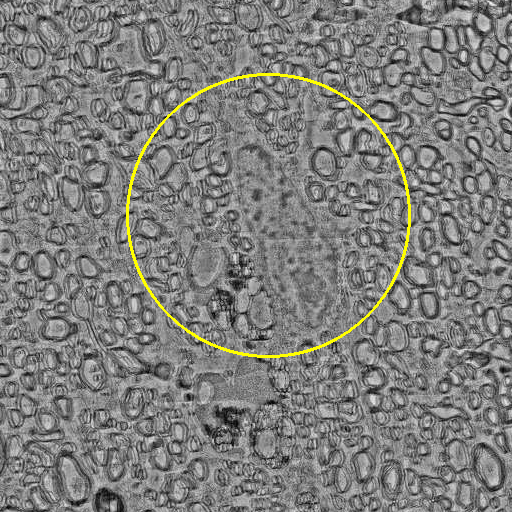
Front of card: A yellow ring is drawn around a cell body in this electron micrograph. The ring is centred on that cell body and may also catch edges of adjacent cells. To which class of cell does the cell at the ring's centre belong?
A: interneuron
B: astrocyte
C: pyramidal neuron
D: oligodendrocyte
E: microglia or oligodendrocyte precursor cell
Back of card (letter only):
B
